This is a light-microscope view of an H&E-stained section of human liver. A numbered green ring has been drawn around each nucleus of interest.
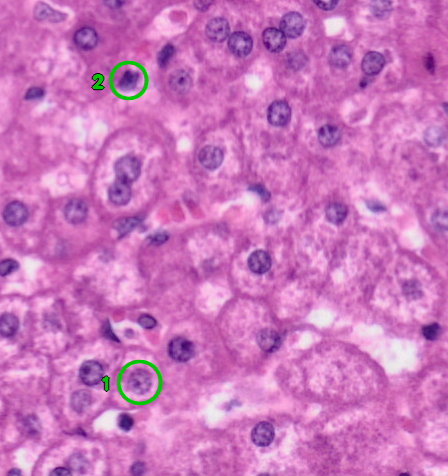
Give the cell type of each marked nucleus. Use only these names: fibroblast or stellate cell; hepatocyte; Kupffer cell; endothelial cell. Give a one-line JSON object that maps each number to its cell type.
{"1": "hepatocyte", "2": "endothelial cell"}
